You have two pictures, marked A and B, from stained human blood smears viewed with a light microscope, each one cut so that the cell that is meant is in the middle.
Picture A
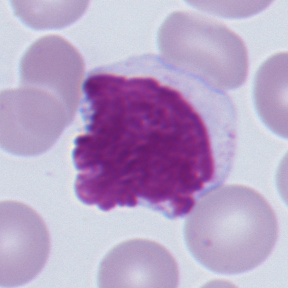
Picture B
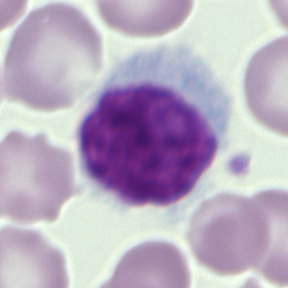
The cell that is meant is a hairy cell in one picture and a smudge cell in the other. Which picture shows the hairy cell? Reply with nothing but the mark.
B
